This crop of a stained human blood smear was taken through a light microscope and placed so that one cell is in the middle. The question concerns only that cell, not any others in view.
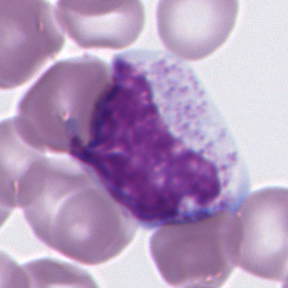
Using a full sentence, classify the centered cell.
Framed in the middle of the crop is a myelocyte.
